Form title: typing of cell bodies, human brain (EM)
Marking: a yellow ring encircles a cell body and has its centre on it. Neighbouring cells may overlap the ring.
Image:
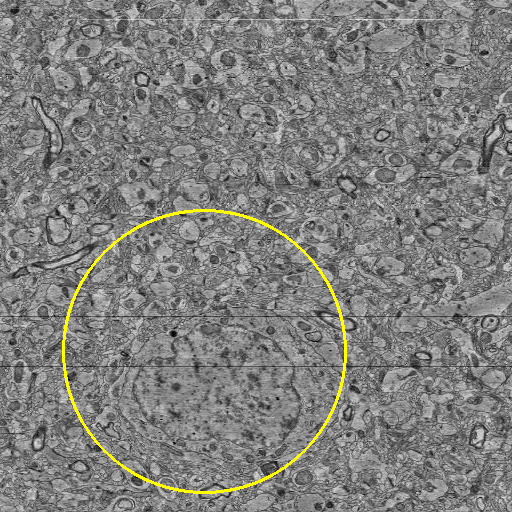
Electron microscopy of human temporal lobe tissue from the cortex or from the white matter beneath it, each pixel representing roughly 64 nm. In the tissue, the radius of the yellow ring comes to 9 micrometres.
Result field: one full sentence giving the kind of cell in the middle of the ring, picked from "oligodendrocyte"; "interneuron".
In the picture, the ring is centred on an interneuron, whose cell body it encircles.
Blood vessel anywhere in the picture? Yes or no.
No.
